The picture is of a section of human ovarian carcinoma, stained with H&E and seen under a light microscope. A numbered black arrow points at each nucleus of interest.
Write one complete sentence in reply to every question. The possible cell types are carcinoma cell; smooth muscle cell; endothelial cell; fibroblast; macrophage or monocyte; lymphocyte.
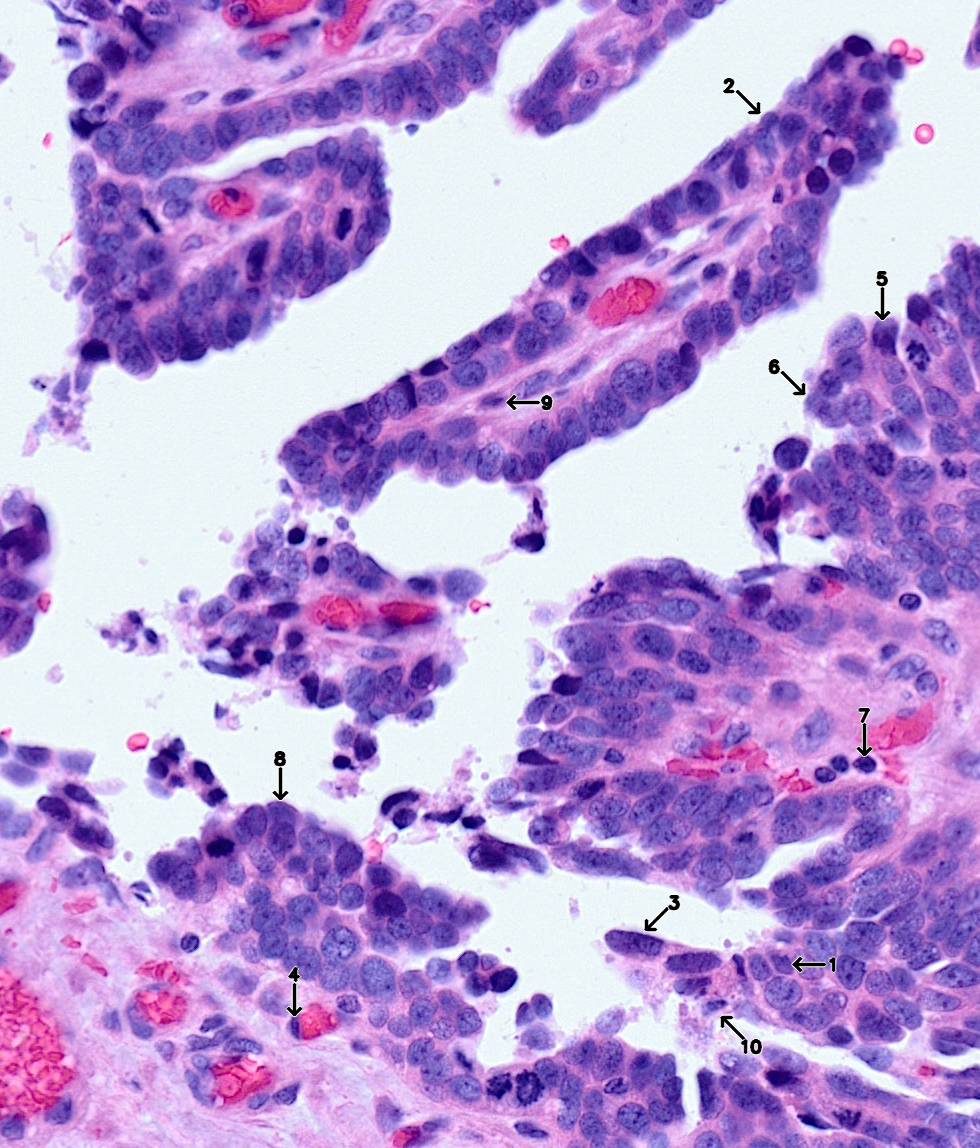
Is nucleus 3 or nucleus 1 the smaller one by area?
Number 1 is smaller, since number 3 takes up about 3 times as much area.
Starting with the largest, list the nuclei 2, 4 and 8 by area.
Largest first, the order by area is 8, 2, 4.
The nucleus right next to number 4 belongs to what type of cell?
It is a fibroblast whose nucleus is nearest to number 4.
